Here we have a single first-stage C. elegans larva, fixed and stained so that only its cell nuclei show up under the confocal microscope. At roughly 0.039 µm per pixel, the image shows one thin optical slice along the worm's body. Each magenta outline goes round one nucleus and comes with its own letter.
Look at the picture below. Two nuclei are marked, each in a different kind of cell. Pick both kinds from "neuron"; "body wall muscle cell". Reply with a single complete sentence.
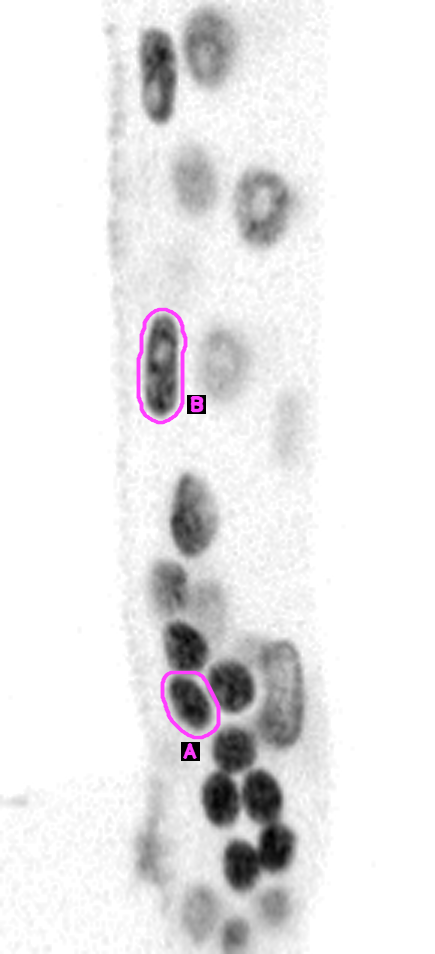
A is from a neuron, and B is from a body wall muscle cell.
